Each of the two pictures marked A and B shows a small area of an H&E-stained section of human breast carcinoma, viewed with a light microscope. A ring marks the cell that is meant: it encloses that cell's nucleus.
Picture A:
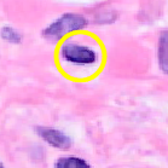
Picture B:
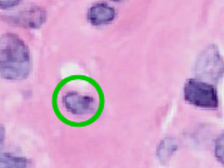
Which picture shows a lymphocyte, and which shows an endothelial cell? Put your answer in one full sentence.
It is picture A that shows a lymphocyte, and picture B that shows an endothelial cell.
